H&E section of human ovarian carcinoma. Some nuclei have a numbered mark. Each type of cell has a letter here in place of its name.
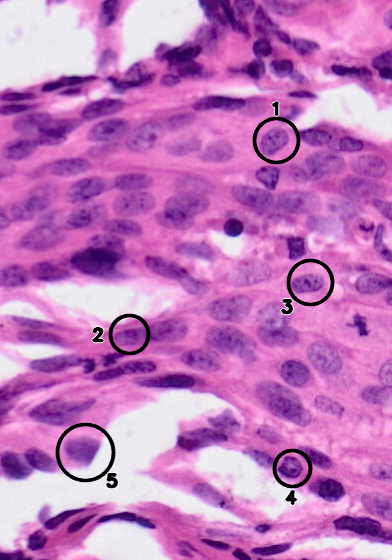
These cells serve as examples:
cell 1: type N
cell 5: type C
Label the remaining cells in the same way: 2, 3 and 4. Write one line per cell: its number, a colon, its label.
2: type C
3: type N
4: type N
